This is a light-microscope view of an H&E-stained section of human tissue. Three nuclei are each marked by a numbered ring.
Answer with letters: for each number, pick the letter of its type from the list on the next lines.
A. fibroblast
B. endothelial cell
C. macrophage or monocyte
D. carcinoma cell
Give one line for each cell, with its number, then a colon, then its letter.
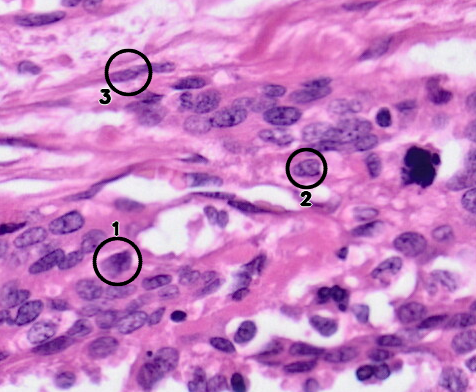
1: D
2: C
3: A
